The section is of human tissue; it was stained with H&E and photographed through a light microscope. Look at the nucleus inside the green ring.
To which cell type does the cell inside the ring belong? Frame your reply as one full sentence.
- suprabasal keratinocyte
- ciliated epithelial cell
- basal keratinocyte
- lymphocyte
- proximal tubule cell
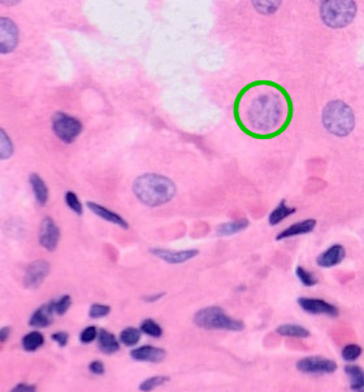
The cell type represented by the cell inside the ring is that of a proximal tubule cell.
